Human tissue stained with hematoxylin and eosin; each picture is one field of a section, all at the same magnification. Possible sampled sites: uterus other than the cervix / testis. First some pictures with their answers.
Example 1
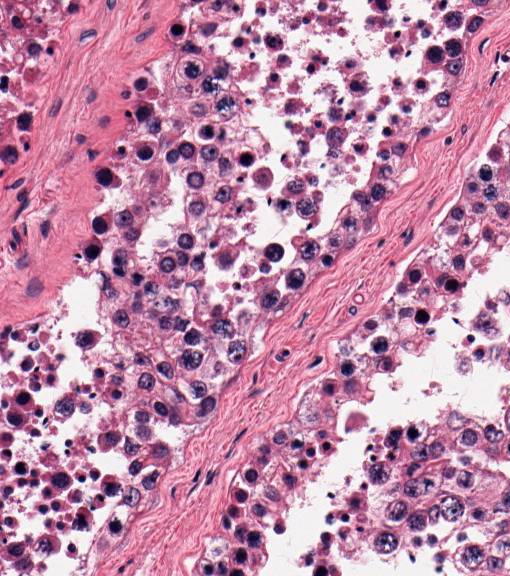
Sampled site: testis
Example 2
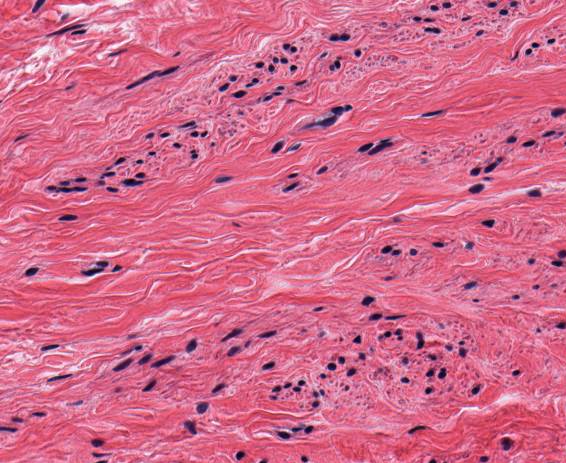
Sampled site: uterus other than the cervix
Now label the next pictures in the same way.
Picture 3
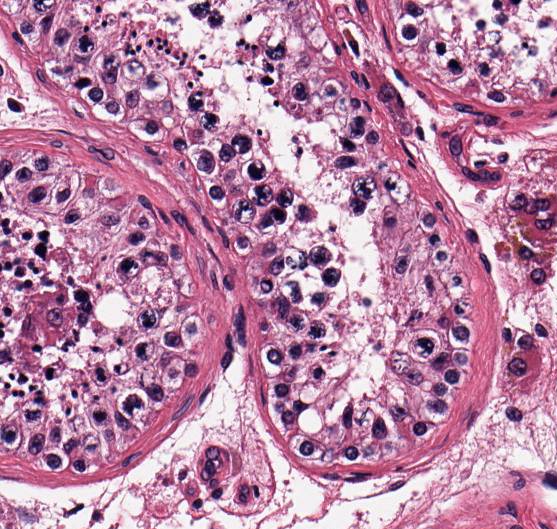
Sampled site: testis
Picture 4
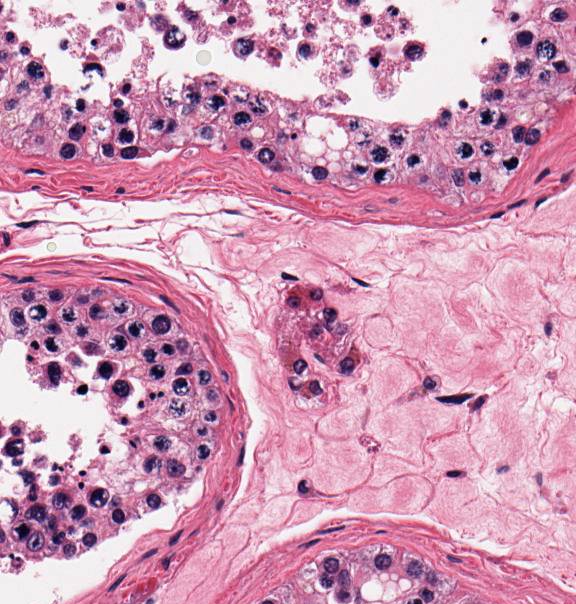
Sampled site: testis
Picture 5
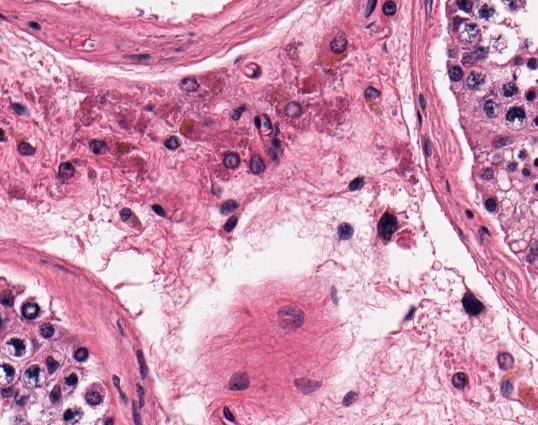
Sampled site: testis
